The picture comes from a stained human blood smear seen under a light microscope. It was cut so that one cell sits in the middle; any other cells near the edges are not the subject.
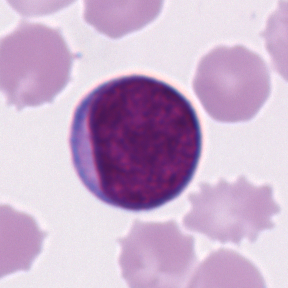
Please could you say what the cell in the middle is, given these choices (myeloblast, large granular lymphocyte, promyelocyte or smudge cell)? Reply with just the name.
myeloblast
